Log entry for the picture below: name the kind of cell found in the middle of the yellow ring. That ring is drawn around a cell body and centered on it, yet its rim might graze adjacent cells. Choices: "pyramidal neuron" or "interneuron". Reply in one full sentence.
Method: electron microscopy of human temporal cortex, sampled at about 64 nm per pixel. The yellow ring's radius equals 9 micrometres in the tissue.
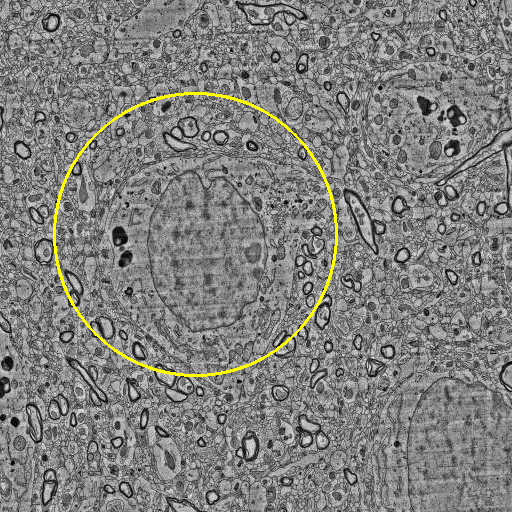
The cell in the middle of the yellow ring in this picture is a pyramidal neuron.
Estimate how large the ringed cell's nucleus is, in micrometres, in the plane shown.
About 10 by 8 micrometers for the nucleus, in this plane.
